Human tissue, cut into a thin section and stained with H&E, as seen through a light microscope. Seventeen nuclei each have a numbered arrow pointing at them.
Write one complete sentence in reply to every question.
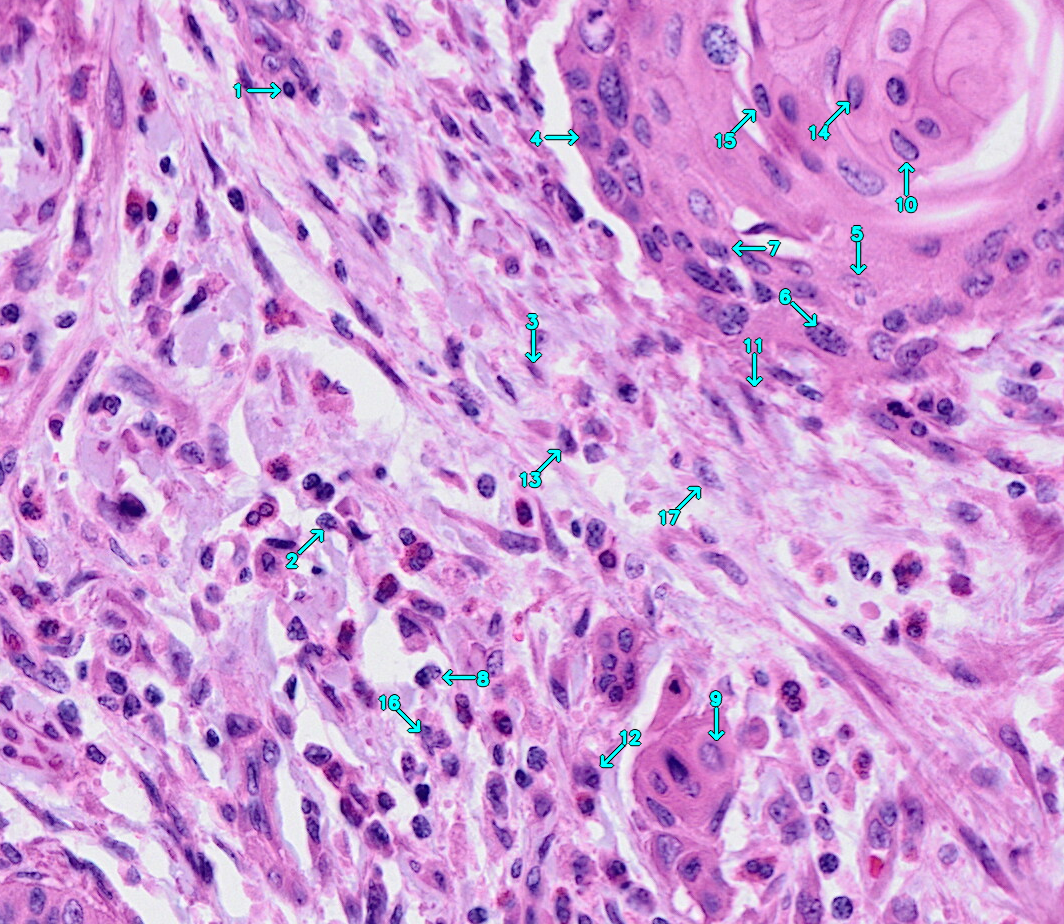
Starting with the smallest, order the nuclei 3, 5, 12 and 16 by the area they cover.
The order from the smallest nucleus to the largest is 3, 5, 16, 12.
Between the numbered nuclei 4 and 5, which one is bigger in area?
Nucleus 4 is larger, with an area about 1.5 times that of nucleus 5.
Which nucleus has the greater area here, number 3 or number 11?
Number 11 is larger; its area is about 4 times that of number 3.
